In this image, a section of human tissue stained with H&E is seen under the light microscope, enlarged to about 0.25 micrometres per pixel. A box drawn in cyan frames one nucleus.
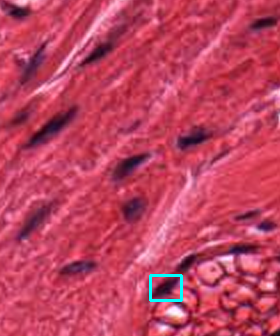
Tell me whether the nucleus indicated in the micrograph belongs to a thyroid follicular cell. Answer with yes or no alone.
no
